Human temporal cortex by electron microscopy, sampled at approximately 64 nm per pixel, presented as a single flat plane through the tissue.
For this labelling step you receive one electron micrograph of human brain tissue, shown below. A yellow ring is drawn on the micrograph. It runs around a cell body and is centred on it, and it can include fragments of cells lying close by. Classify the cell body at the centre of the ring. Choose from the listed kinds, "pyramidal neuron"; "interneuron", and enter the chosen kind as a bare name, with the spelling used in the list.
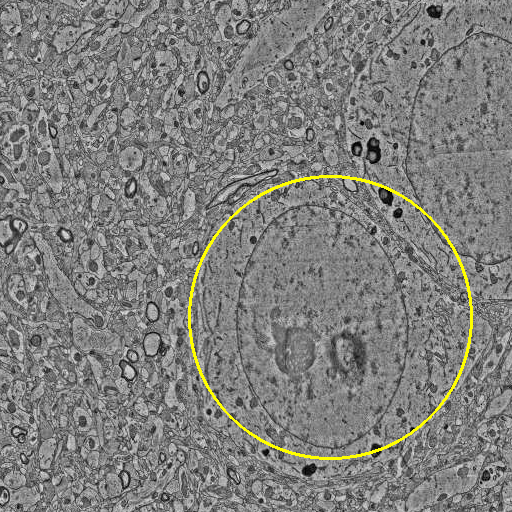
pyramidal neuron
